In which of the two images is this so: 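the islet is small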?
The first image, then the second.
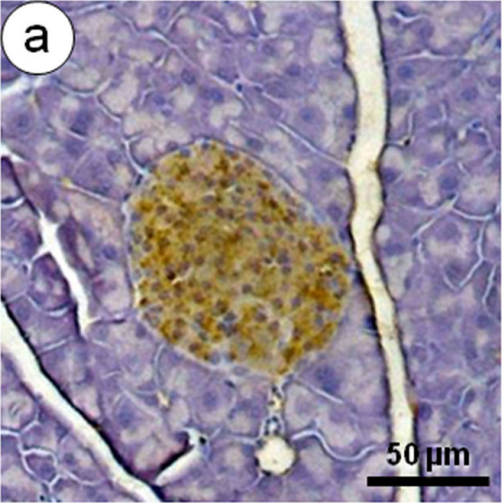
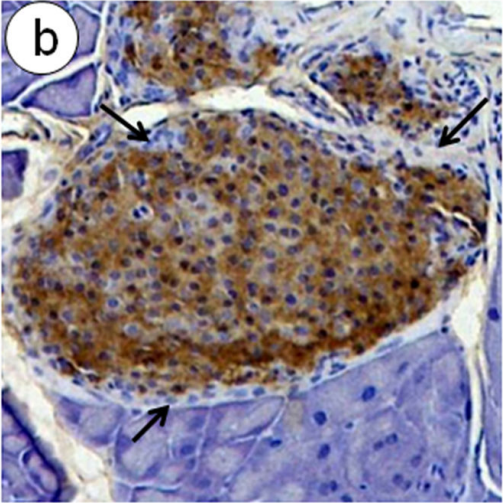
the first image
